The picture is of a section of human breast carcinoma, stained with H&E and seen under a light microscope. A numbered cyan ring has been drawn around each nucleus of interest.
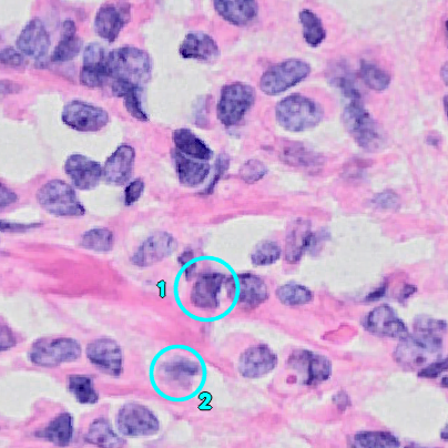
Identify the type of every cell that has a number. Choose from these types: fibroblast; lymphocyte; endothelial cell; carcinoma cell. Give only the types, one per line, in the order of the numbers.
carcinoma cell
fibroblast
